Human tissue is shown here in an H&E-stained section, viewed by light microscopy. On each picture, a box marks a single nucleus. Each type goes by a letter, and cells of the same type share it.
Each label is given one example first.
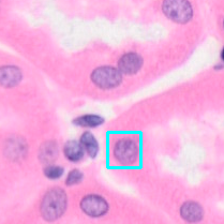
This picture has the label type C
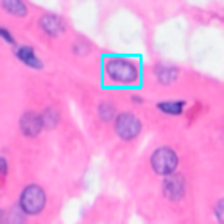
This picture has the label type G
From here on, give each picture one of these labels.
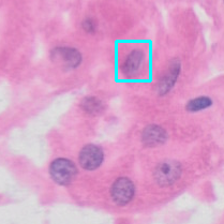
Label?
type C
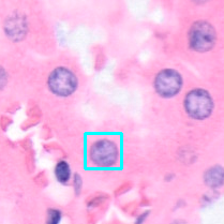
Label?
type C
